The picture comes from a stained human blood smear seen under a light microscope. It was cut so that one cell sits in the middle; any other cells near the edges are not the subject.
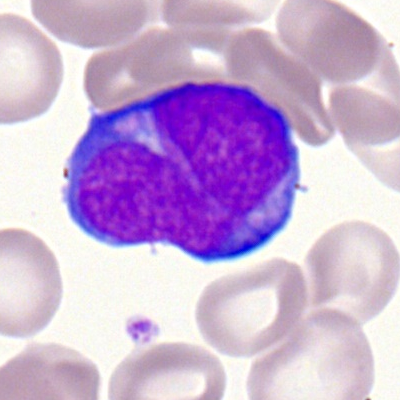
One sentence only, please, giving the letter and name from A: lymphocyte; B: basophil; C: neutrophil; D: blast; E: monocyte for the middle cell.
Here the central cell is a blast, and option D is correct.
